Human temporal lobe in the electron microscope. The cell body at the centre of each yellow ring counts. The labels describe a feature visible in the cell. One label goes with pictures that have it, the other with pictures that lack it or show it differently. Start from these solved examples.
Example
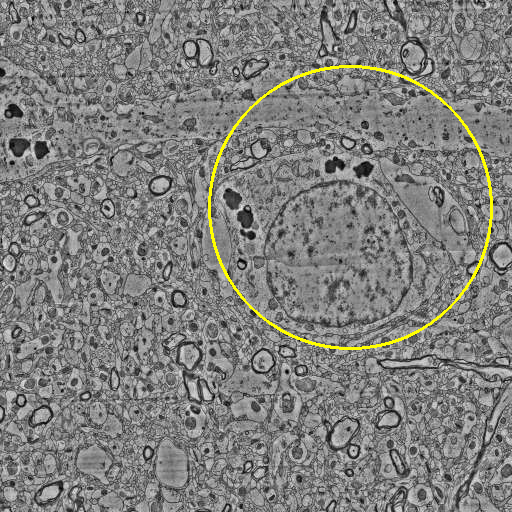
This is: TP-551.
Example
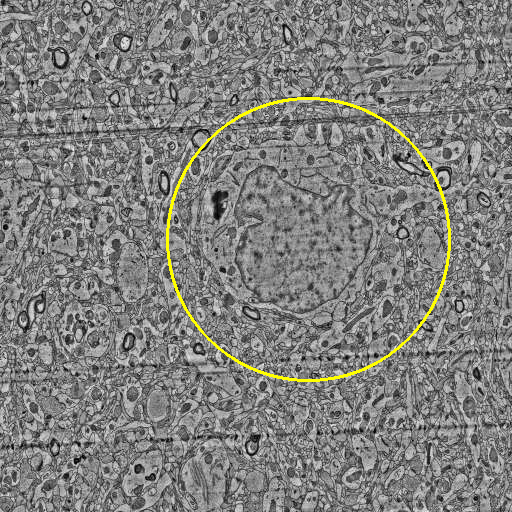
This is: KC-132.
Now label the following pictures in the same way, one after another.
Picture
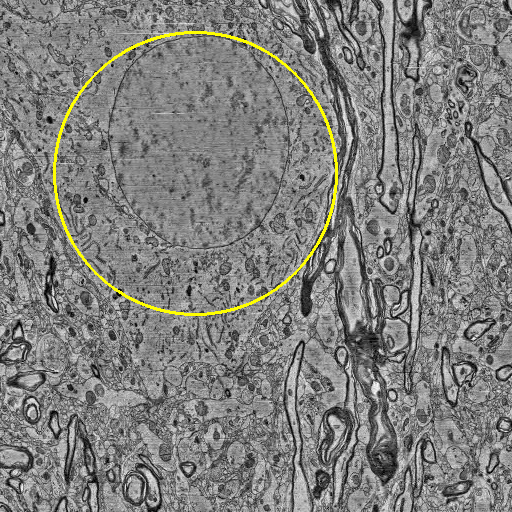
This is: TP-551.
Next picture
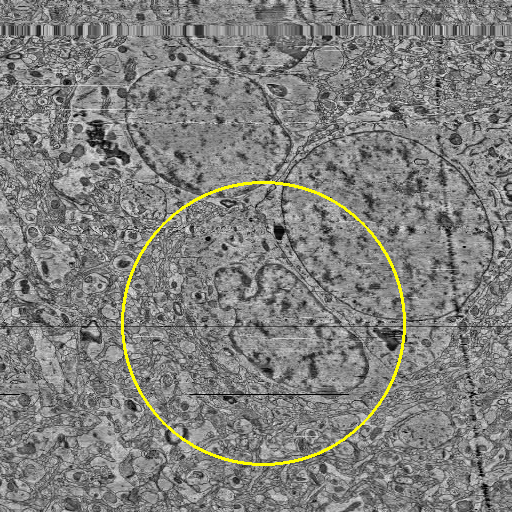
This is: KC-132.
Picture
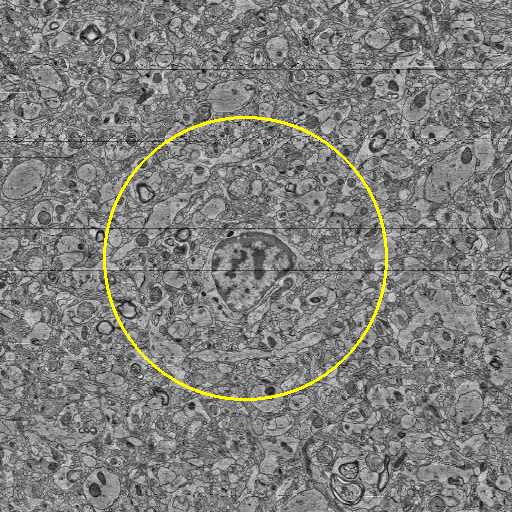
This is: KC-132.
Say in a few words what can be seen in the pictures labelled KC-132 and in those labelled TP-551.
KC-132: deeply folded or indented nuclear envelopes; TP-551: smooth nuclear envelopes without deep folds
